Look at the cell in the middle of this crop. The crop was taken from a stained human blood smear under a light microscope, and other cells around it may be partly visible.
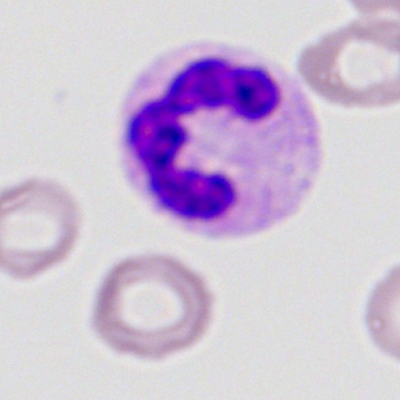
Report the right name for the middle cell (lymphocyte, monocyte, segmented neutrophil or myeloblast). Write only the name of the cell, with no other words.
segmented neutrophil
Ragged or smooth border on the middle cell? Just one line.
The outline traces a smooth curve with no projections along it.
